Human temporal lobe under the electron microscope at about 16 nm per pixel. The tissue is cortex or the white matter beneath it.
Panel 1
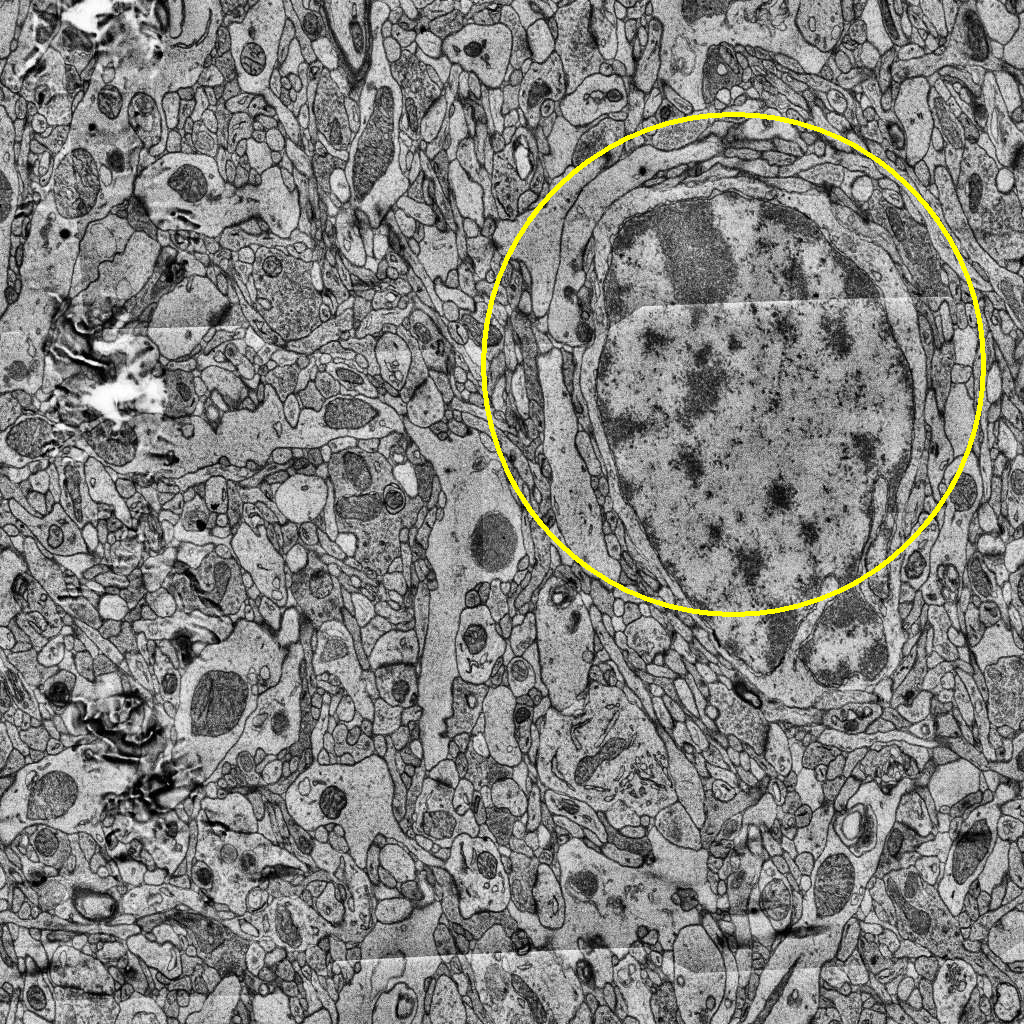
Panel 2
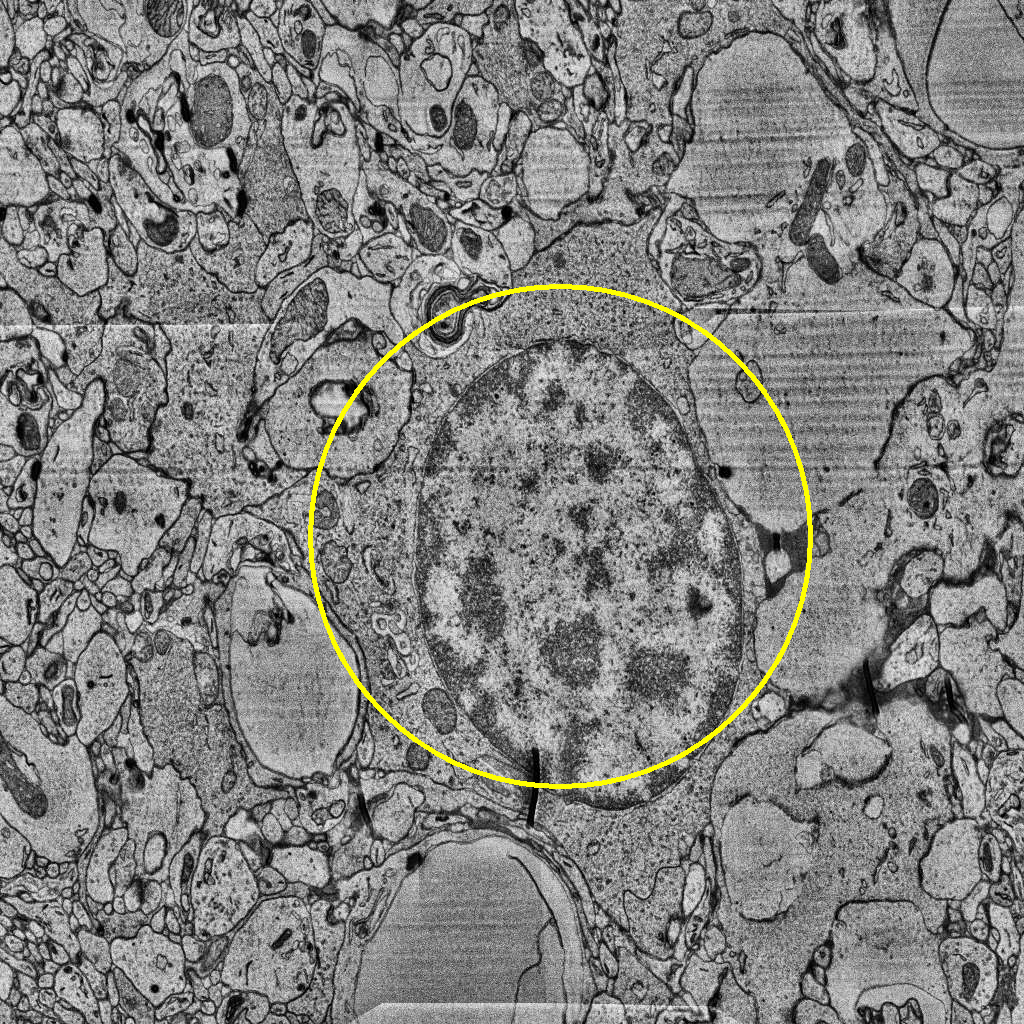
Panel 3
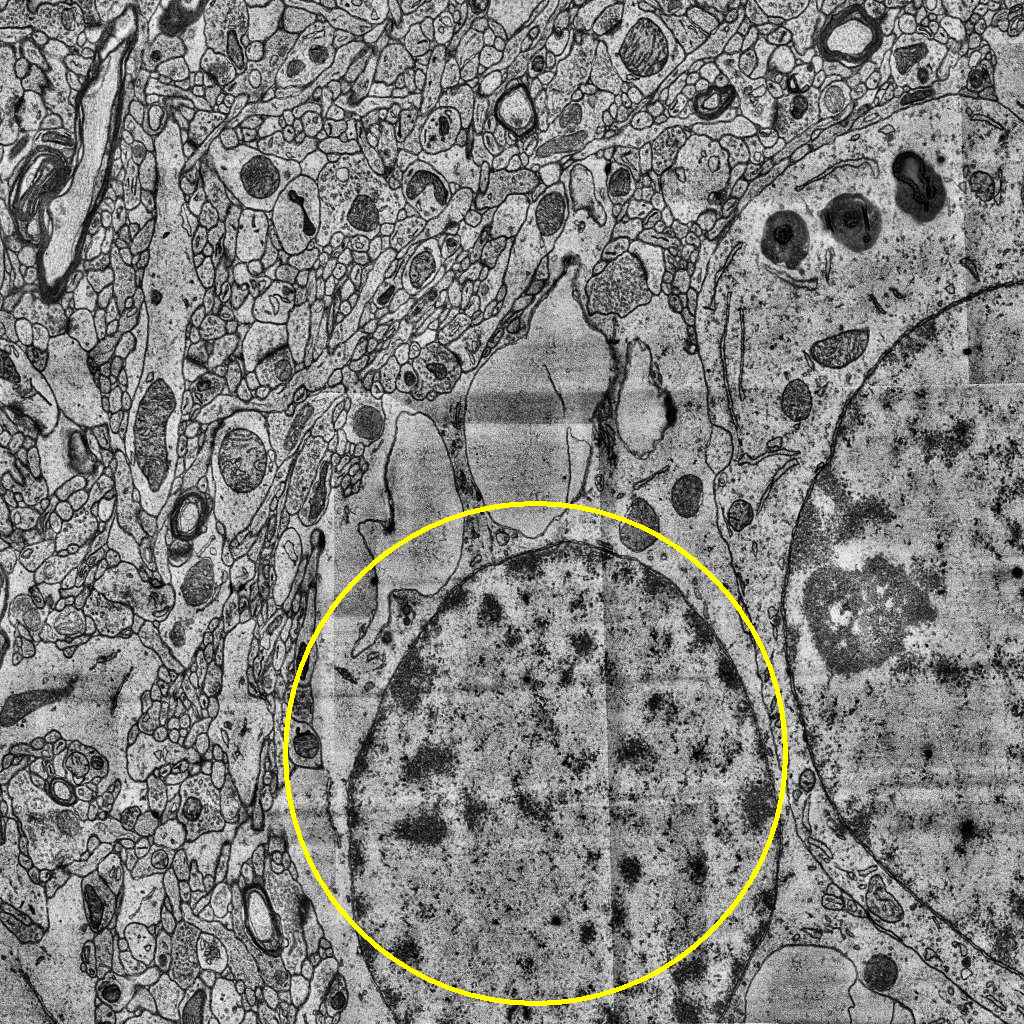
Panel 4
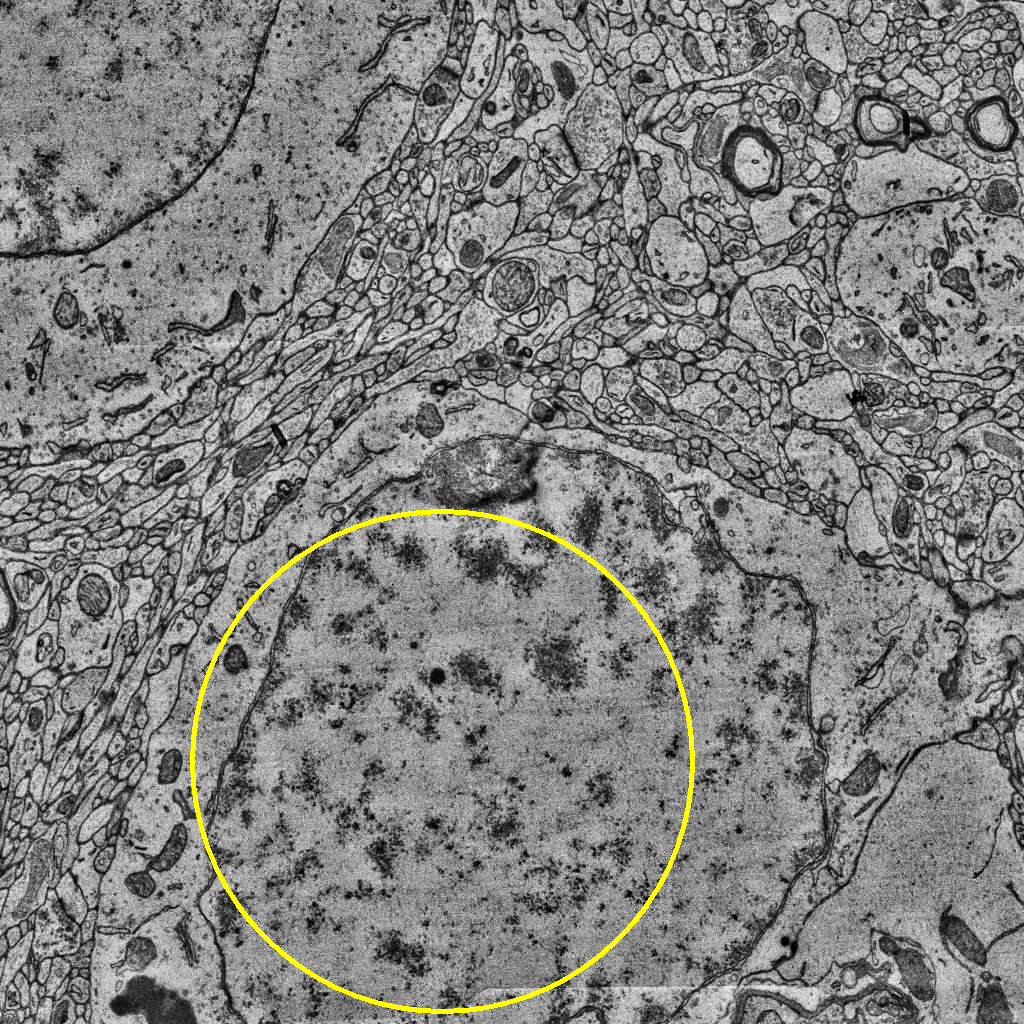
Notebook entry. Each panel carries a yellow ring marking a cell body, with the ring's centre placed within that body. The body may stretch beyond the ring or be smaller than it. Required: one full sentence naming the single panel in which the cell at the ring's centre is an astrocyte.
Panel 3 is the single one with the ring's centre inside the sought cell.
